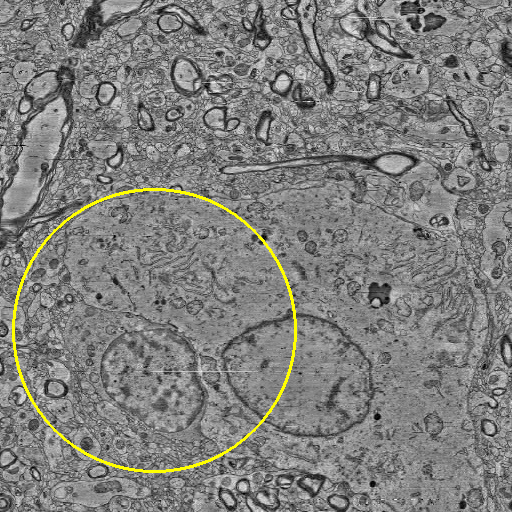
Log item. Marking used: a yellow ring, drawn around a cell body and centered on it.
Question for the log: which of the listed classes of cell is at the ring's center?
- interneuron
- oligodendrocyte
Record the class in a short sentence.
At the center of the ring lies an oligodendrocyte.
